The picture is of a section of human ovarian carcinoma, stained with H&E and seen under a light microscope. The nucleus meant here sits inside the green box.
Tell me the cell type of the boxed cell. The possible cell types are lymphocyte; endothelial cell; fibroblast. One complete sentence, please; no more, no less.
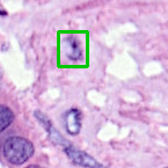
Considered by cell type, the boxed cell is a fibroblast.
